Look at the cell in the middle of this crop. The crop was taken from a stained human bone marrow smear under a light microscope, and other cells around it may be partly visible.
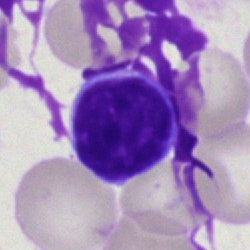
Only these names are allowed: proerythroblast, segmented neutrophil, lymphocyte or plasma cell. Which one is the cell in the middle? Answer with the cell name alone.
lymphocyte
